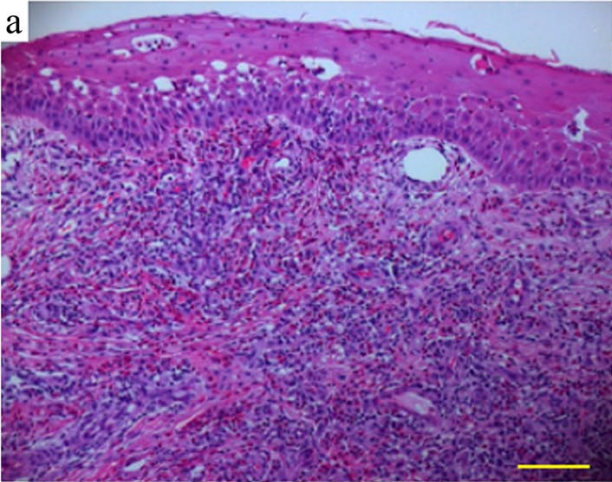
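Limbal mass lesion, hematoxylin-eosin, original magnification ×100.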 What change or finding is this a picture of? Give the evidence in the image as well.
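Diffuse infiltration of eosinophils and lymphocytes. Dense sheets of small round cells fill the tissue beneath the surface epithelium. Many cells with pink cytoplasm are scattered among darker small round nuclei.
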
